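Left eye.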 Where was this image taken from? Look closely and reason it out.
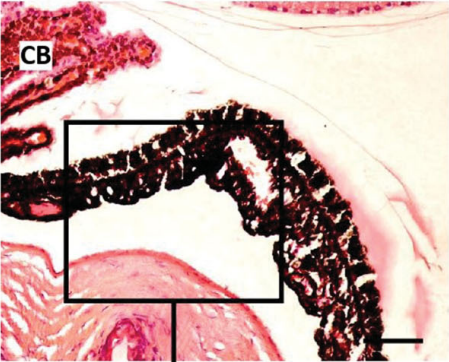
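Iridocorneal angle. A darkly pigmented iris sheet runs diagonally toward the folded ciliary processes. Pink fibrous corneal-scleral tissue lies below, separated from the iris by an open clear space.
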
